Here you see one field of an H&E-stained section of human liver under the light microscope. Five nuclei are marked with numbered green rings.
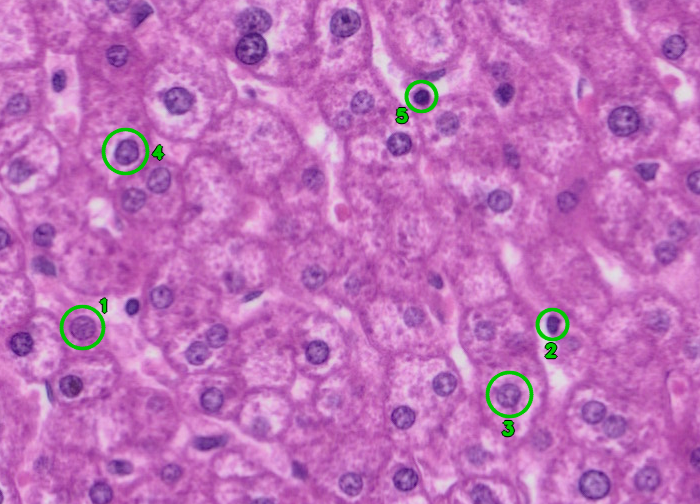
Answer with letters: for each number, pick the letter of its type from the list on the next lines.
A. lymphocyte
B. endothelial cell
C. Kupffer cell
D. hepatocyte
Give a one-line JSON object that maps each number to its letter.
{"1": "D", "2": "A", "3": "D", "4": "D", "5": "A"}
